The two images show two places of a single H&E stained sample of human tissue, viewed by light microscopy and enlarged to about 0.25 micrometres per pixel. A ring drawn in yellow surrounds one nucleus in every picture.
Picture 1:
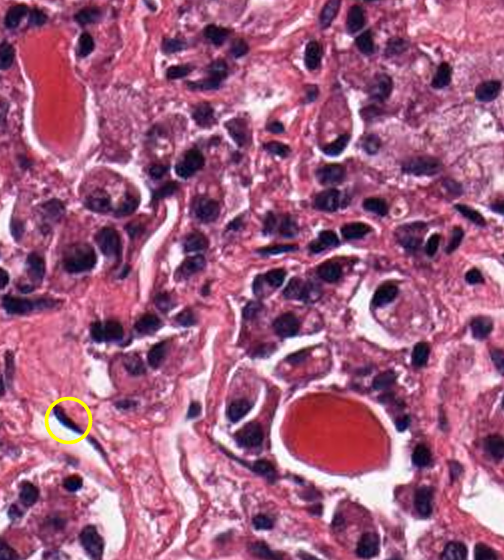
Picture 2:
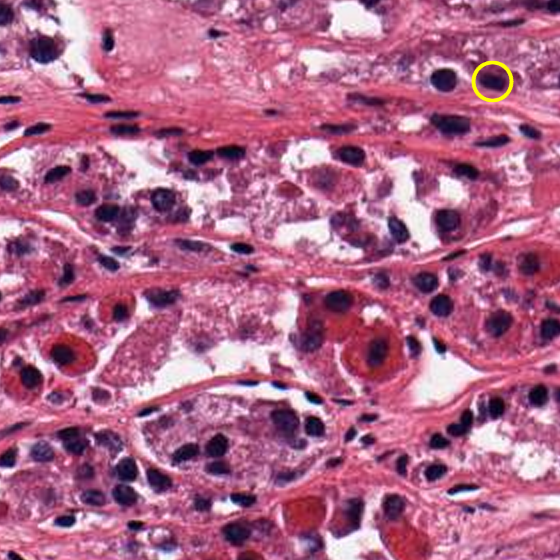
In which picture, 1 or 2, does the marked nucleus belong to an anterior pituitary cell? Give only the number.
2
